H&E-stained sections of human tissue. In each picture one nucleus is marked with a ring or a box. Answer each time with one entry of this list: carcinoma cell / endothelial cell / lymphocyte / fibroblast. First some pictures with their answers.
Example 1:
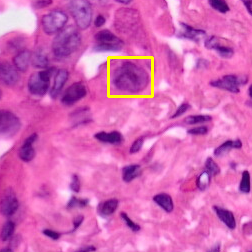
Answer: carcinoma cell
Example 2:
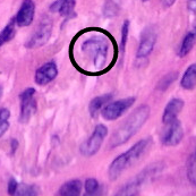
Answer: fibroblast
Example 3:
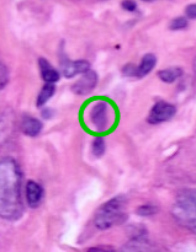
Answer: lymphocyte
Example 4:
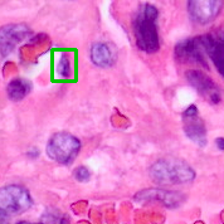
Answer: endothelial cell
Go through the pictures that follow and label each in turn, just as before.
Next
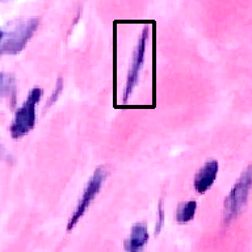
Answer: fibroblast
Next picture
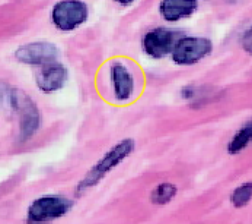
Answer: lymphocyte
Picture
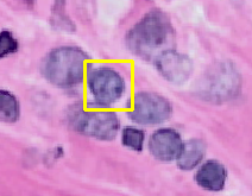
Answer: carcinoma cell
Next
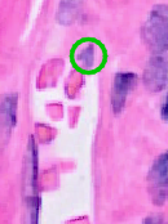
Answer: endothelial cell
